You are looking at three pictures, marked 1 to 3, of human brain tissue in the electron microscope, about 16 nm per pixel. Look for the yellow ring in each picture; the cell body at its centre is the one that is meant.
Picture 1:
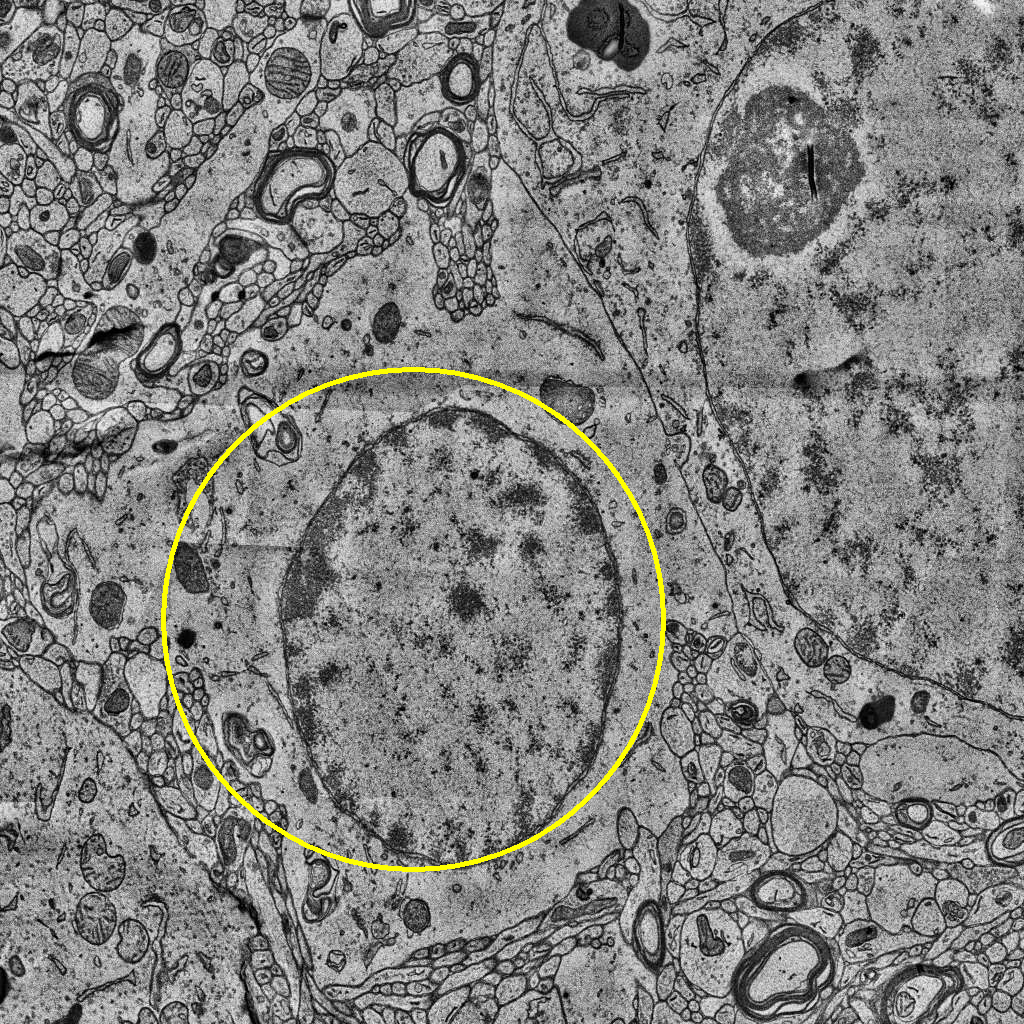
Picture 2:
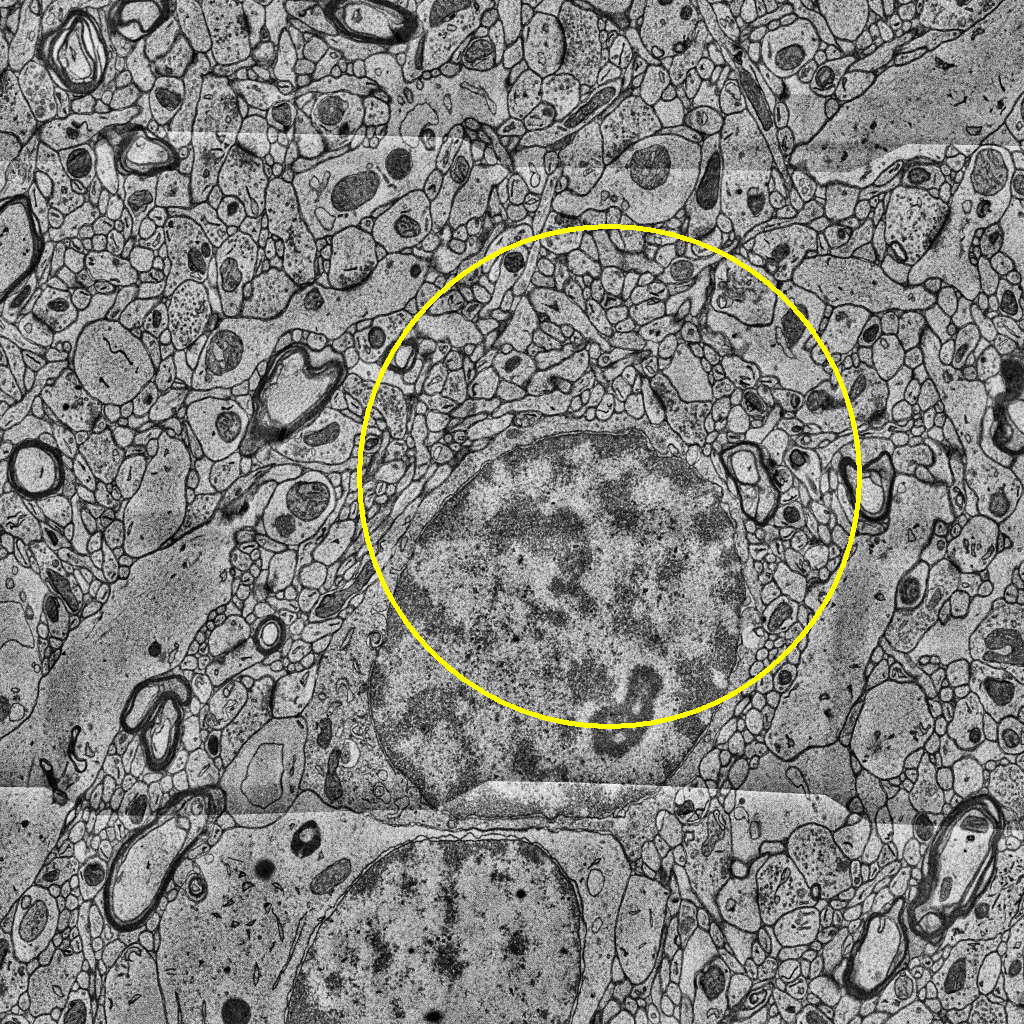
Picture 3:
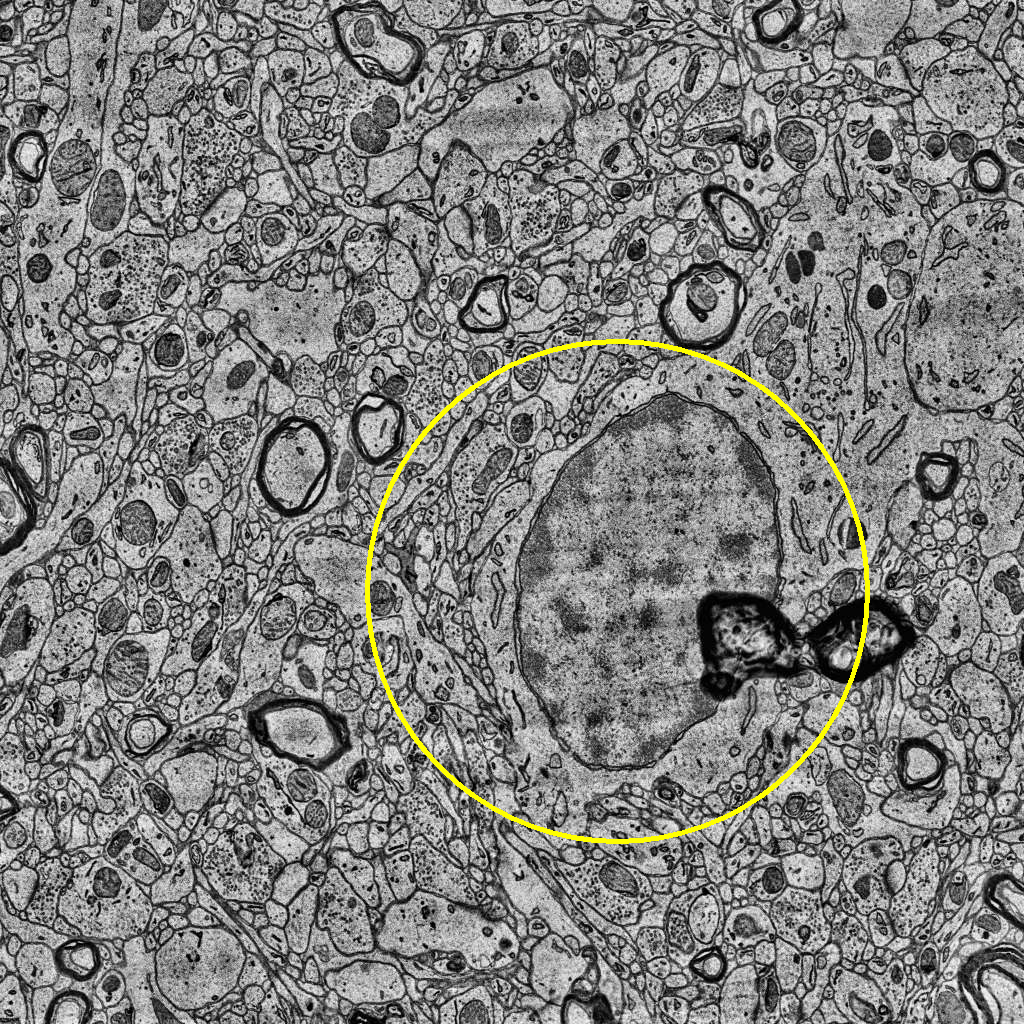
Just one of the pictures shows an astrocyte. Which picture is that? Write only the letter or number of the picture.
1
